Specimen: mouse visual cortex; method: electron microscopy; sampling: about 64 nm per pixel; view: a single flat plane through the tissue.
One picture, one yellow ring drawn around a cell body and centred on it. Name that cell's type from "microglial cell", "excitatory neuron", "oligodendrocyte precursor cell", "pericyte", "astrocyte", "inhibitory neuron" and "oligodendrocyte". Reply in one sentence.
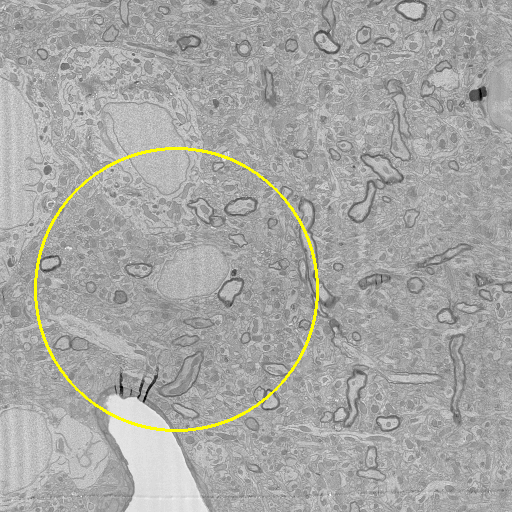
Centred in the ring is an oligodendrocyte precursor cell.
